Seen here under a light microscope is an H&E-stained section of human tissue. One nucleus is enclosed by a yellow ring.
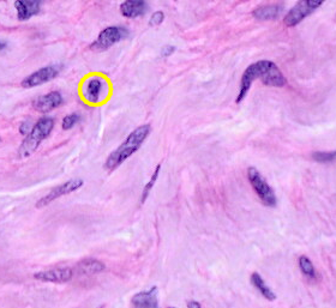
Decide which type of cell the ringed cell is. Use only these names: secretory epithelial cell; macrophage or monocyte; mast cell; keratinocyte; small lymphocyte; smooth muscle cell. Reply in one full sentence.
In this section of tissue, the ringed cell is a smooth muscle cell.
